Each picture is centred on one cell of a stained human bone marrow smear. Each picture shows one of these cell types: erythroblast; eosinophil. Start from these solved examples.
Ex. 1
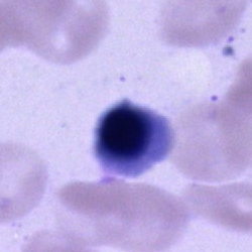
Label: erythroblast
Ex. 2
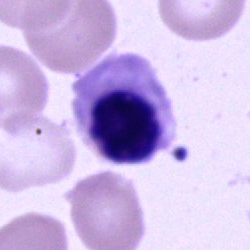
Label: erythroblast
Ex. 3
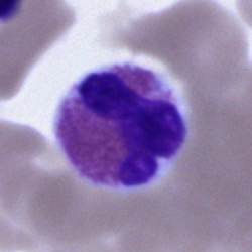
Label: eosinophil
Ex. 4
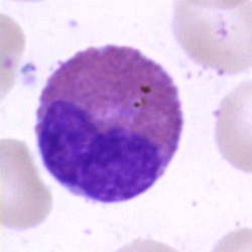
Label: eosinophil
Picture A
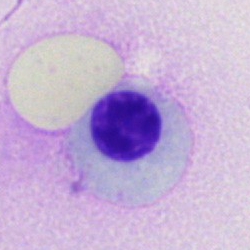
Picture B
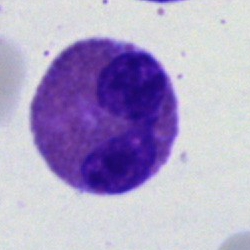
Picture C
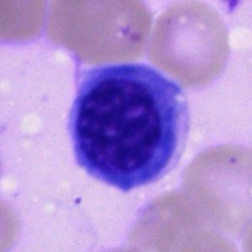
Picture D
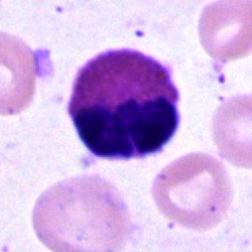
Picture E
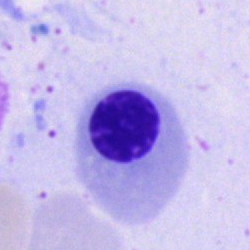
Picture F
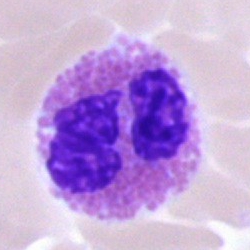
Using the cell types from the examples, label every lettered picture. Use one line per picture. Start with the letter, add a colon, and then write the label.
A: erythroblast
B: eosinophil
C: erythroblast
D: eosinophil
E: erythroblast
F: eosinophil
